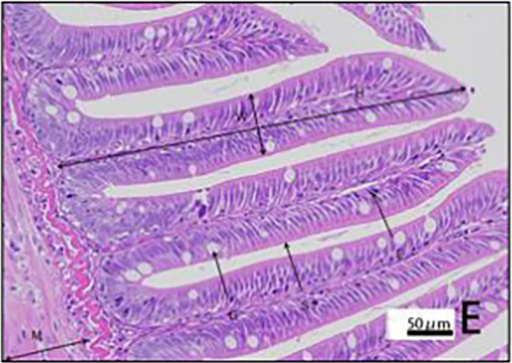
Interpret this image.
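Intestinal mucosa with long, slender villi lined by a single layer of tall columnar epithelial cells. The epithelial nuclei are elongated, dark purple and lie in a row toward the base of the cells, while the apical cytoplasm is paler pink. Scattered among the epithelial cells are rounded, clear, vacuole-like goblet cells. Each villus has a thin central core of connective tissue. At the base of the folds lies a narrow layer of connective tissue with a wavy bright pink band, and beneath it the pink muscular layer of the wall.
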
